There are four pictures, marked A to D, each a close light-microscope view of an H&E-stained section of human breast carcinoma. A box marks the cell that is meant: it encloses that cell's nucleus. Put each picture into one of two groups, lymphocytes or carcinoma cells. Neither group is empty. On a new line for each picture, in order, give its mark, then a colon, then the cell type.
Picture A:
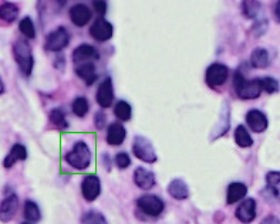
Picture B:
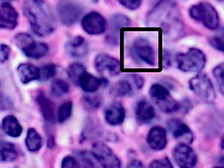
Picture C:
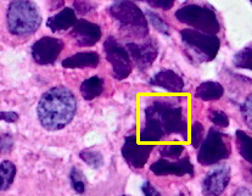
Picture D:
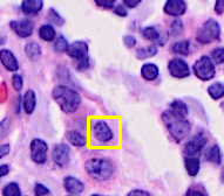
A: lymphocyte
B: lymphocyte
C: carcinoma cell
D: lymphocyte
